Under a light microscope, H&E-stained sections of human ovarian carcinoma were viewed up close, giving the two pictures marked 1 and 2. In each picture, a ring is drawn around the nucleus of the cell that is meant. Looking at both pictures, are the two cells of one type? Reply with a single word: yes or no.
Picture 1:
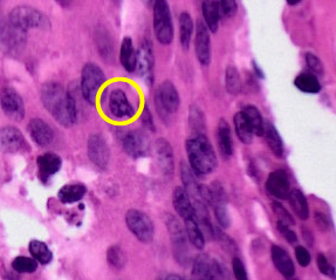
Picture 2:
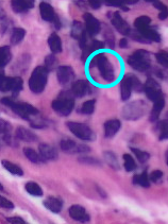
no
